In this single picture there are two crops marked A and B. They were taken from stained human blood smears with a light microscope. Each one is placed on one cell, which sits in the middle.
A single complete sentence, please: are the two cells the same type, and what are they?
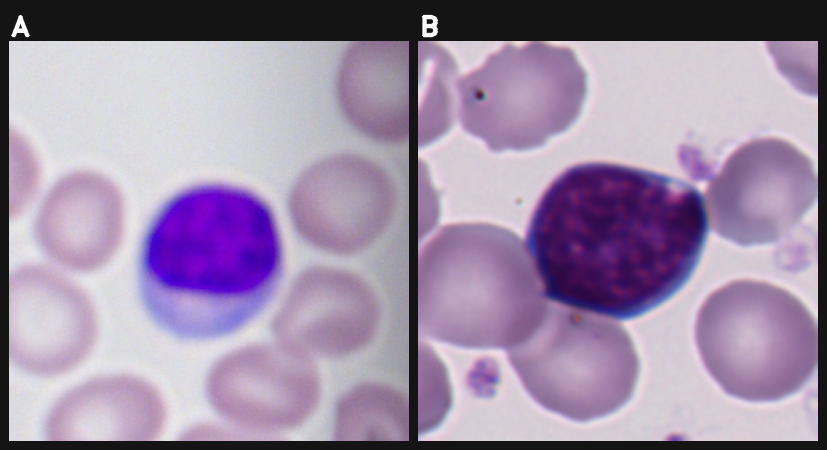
Yes, the cells at the centre of the two crops are both lymphocytes.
